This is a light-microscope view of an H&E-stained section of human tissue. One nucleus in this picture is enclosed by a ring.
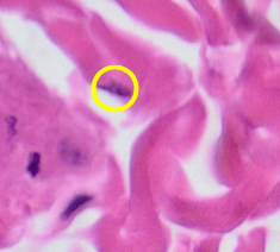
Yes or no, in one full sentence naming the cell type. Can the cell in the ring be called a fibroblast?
Yes, the cell in the ring is properly called a fibroblast in this section.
